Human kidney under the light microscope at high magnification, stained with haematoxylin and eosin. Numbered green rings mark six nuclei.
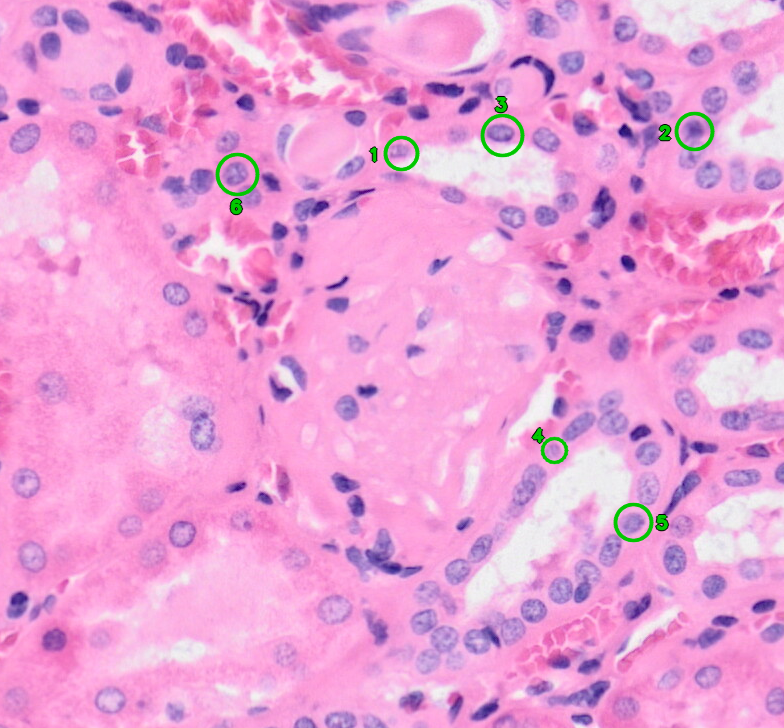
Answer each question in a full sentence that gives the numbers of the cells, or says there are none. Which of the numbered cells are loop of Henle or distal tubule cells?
The cells with labels 1, 3 and 6 are loop of Henle or distal tubule cells.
